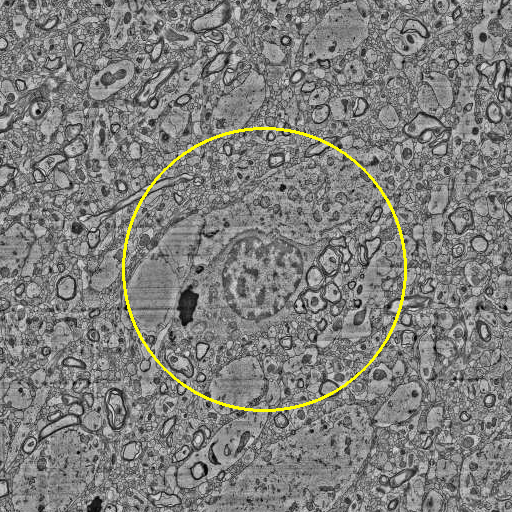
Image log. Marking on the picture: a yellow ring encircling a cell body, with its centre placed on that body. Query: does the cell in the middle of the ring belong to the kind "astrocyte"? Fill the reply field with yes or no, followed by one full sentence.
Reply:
No, the cell at the centre of the yellow ring in this picture belongs to a different kind.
